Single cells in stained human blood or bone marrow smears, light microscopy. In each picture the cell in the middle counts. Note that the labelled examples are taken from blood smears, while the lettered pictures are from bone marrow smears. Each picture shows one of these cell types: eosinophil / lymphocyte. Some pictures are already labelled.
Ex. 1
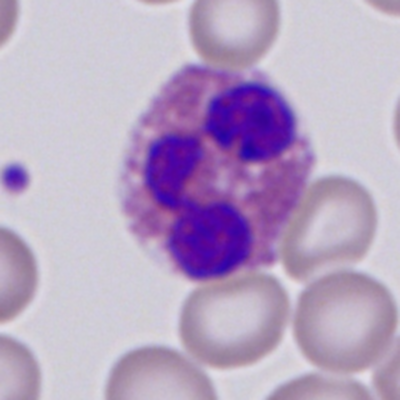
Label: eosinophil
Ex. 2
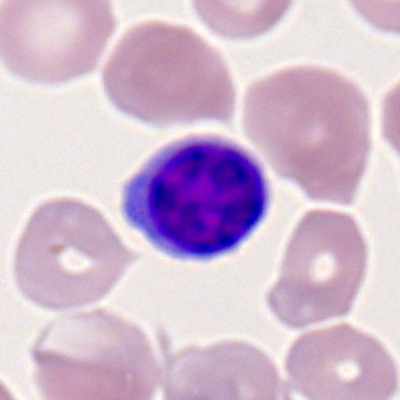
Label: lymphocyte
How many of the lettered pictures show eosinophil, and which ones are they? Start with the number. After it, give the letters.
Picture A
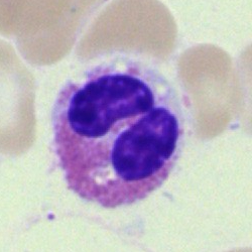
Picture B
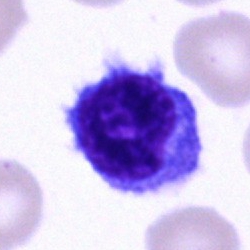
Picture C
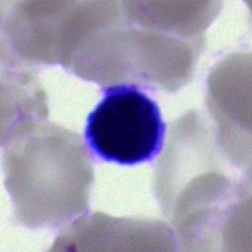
1: A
